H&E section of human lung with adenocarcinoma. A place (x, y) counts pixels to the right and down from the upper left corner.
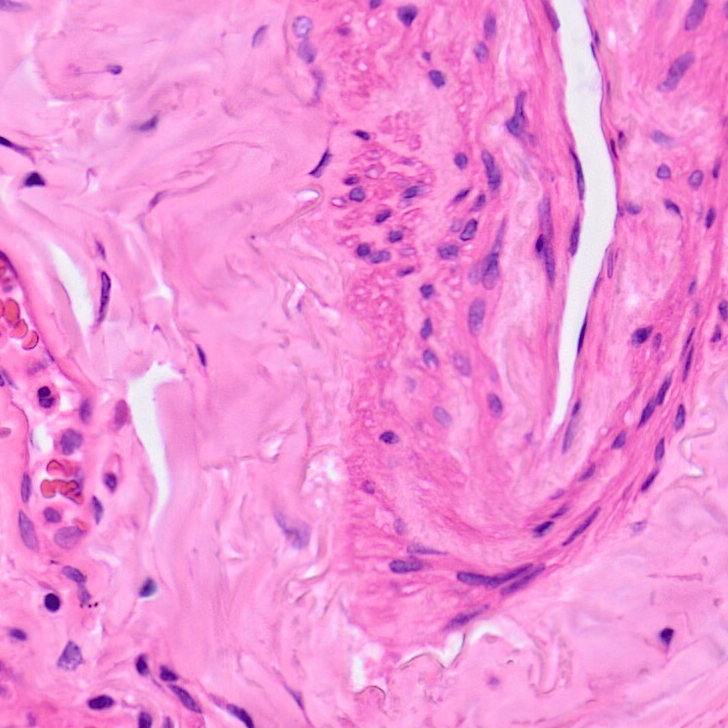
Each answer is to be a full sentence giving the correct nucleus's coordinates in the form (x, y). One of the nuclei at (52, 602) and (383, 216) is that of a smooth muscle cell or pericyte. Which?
The nucleus of a smooth muscle cell or pericyte lies at (383, 216), not at the other position.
